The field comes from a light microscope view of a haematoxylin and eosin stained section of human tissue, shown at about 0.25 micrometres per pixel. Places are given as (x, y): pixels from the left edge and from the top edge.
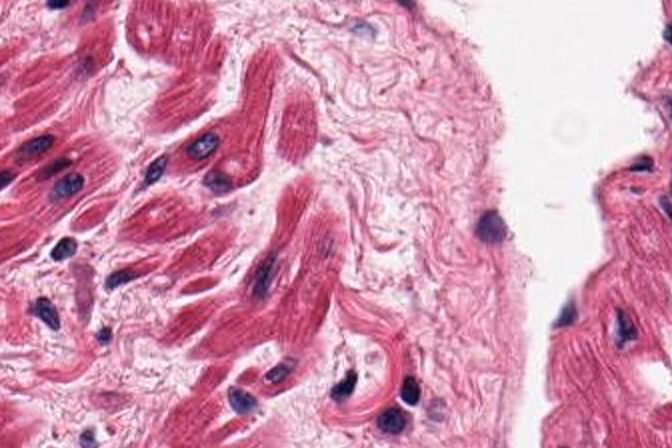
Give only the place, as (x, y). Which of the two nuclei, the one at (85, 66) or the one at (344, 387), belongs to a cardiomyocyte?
(85, 66)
